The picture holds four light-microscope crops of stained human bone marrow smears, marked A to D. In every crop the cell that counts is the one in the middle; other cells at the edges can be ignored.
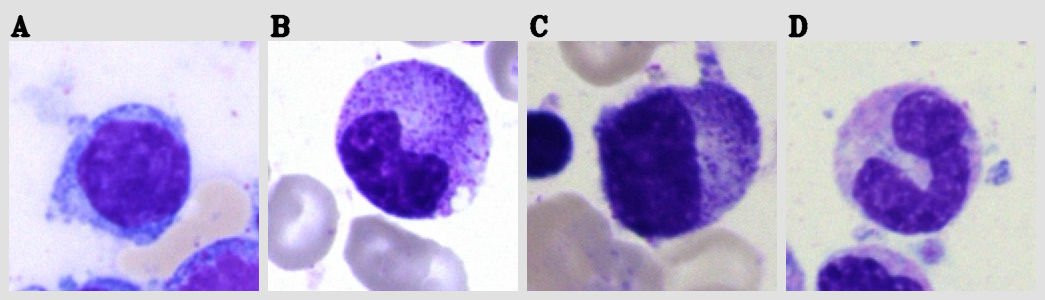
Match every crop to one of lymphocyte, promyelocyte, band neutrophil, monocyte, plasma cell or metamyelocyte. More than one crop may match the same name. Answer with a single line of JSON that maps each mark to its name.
{"A": "lymphocyte", "B": "band neutrophil", "C": "promyelocyte", "D": "band neutrophil"}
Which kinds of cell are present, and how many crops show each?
band neutrophil: 2
lymphocyte: 1
promyelocyte: 1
